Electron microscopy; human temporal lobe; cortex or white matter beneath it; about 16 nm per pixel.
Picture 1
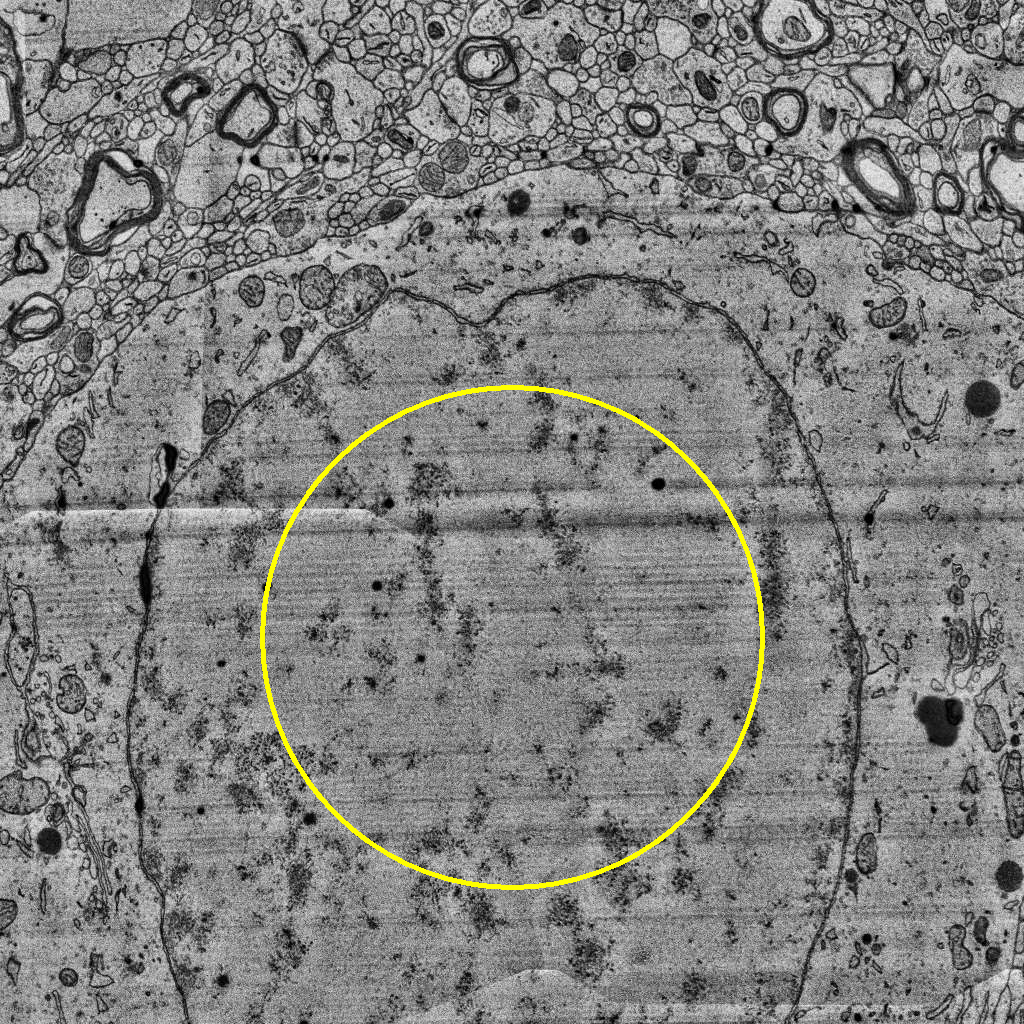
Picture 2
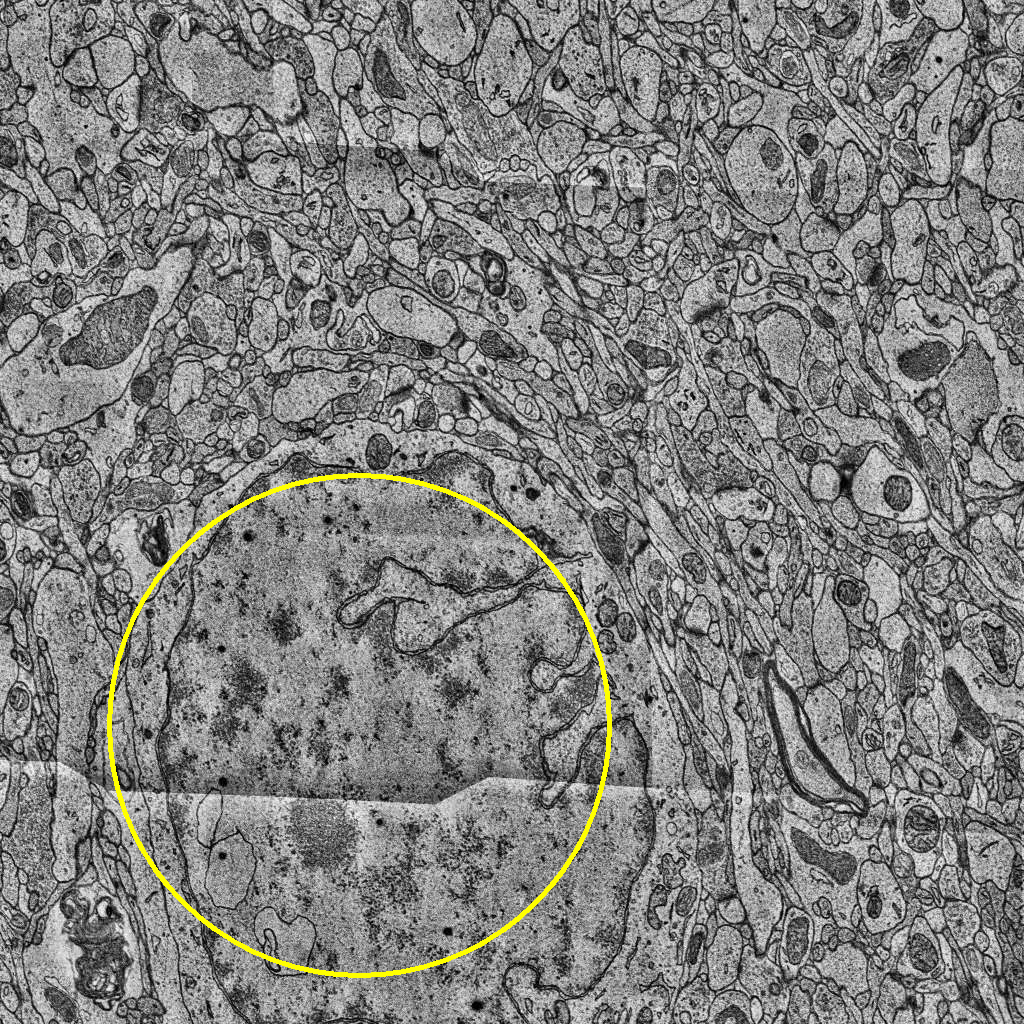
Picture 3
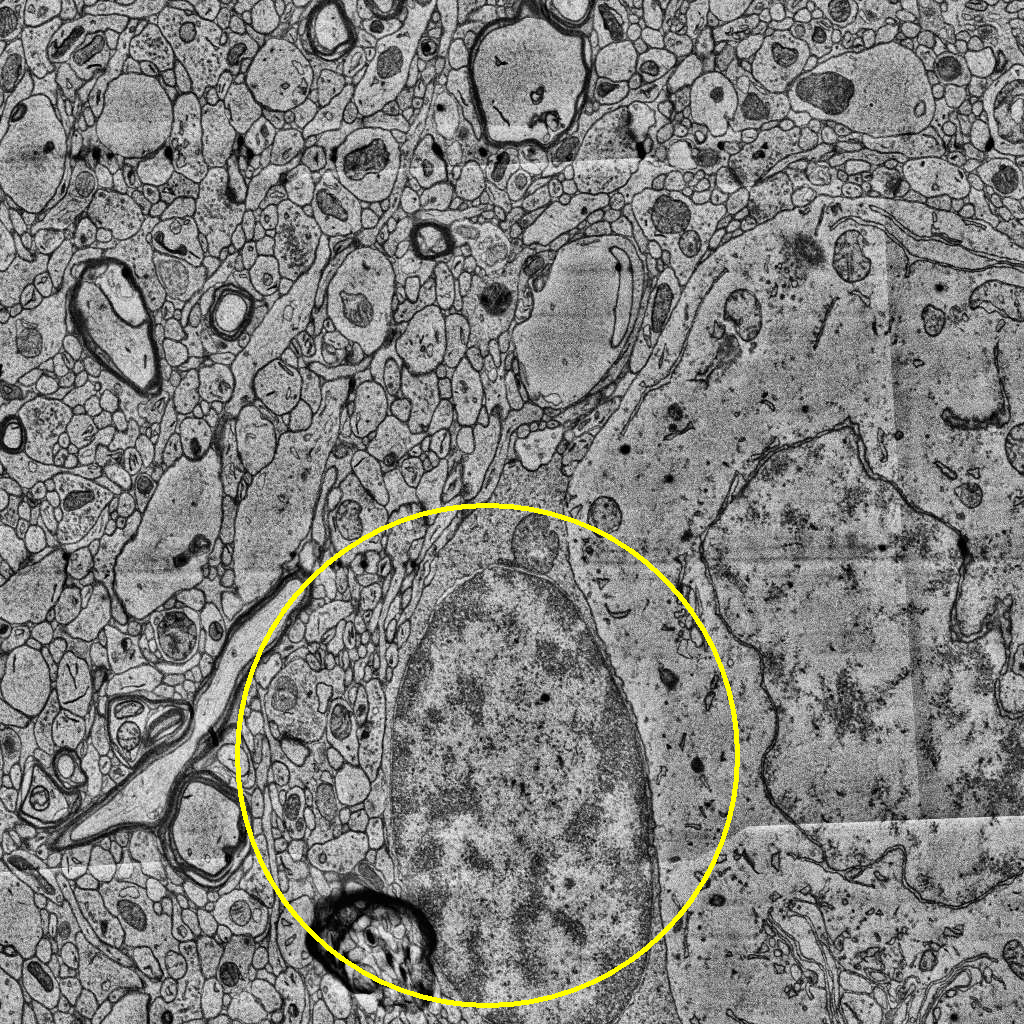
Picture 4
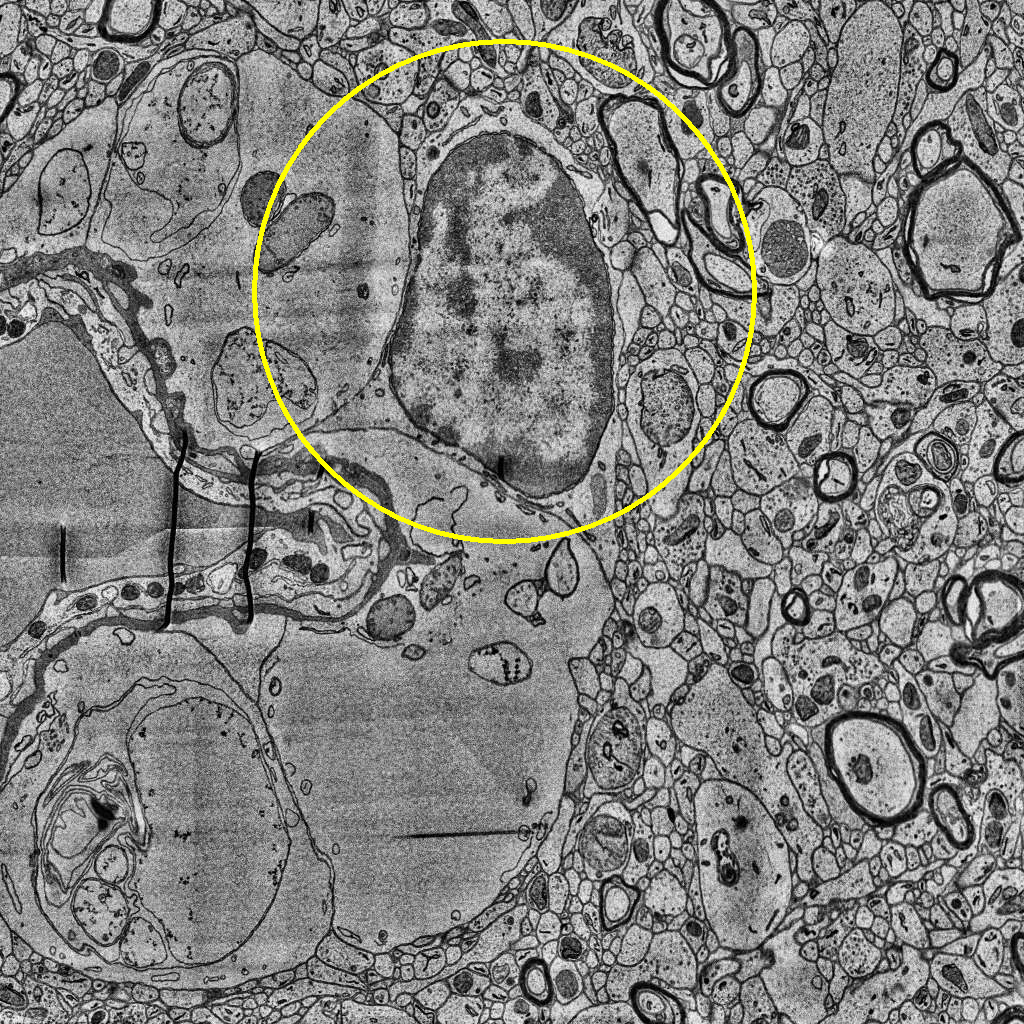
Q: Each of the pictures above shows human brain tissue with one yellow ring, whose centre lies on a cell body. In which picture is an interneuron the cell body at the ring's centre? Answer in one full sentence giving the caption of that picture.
Picture 2 is the one whose ring's centre lies on the cell in question.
